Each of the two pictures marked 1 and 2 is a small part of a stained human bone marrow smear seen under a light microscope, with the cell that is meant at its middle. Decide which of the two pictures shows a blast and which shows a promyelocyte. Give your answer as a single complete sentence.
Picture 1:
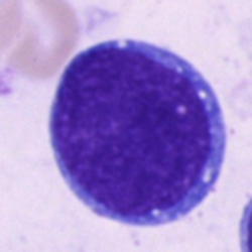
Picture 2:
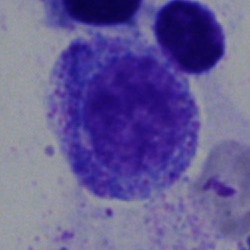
In picture 1 the cell is a blast; in picture 2, a promyelocyte.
